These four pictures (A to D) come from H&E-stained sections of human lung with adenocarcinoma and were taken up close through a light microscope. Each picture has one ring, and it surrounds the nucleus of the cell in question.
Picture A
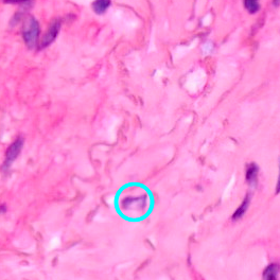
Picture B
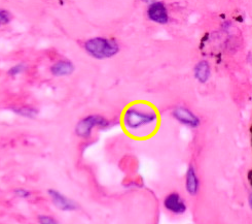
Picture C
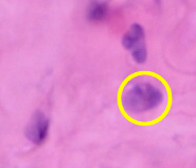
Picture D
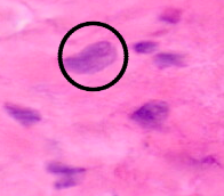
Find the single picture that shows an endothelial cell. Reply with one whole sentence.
It is picture B that shows the endothelial cell.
